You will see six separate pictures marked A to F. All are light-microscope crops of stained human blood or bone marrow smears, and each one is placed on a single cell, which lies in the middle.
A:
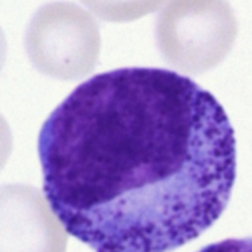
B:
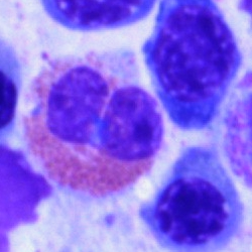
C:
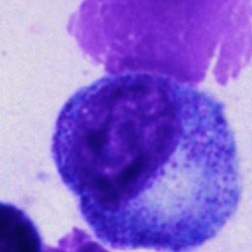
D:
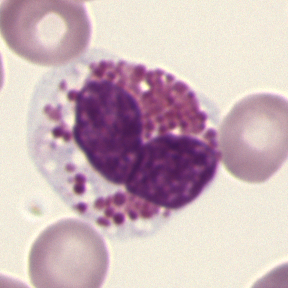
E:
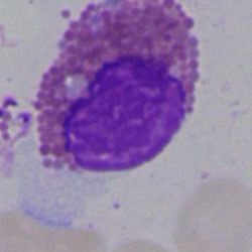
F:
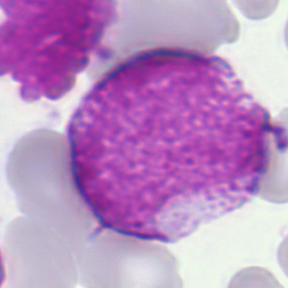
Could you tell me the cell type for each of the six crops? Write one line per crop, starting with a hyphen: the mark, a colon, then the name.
- A: promyelocyte
- B: eosinophil
- C: promyelocyte
- D: eosinophil
- E: eosinophil
- F: promyelocyte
